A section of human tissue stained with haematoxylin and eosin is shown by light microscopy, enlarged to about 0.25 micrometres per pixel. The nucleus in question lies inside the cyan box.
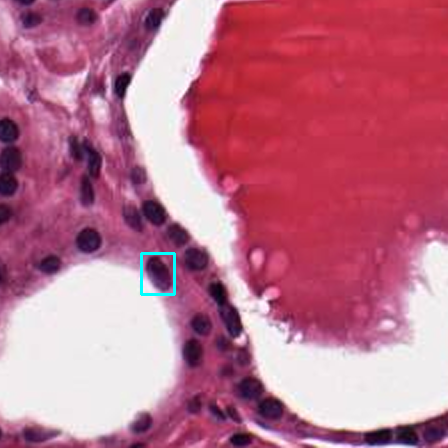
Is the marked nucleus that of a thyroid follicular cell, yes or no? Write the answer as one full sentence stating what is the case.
Yes, it is a thyroid follicular cell to which the marked nucleus belongs.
